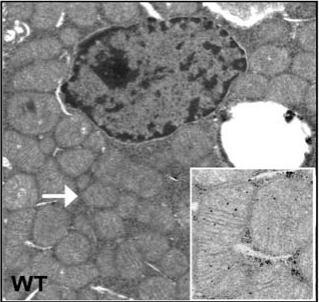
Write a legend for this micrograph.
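This electron micrograph shows part of a brown adipocyte whose cytoplasm is crowded with numerous mitochondria. The mitochondria are round, dense and tightly packed against one another, so that almost no free cytoplasm is visible between them. Their cristae are densely packed and run across the entire organelle, as seen at higher magnification in the inset. A large nucleus with dark clumped chromatin lies at the top of the field. A rounded pale lipid vacuole sits in the cytoplasm beside the nucleus.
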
